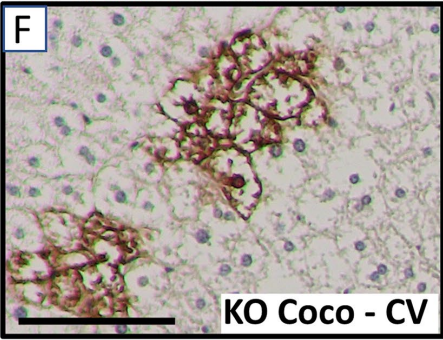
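This is liver tissue with two clusters of hepatocytes whose cell borders and cytoplasmic strands are stained dark brown, surrounded by unstained cells with blue nuclei. The stained cells are enlarged with pale, clear cytoplasm crossed by brown strands, and no round empty vacuoles are seen.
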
